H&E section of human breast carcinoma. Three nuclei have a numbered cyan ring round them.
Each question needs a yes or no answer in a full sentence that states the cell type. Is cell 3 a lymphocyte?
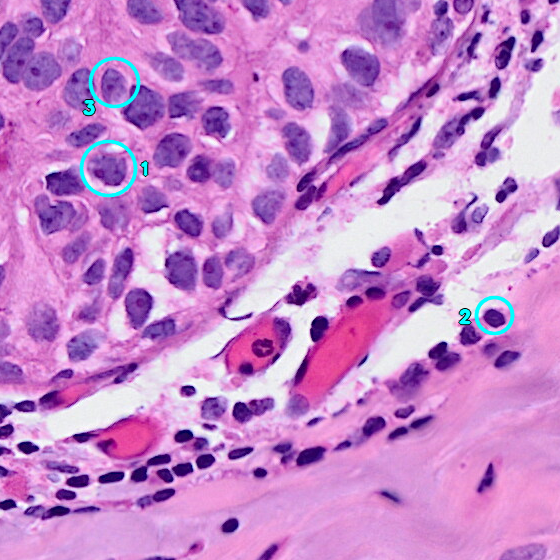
No, the identification of cell 3 as a lymphocyte is incorrect; it is a carcinoma cell.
